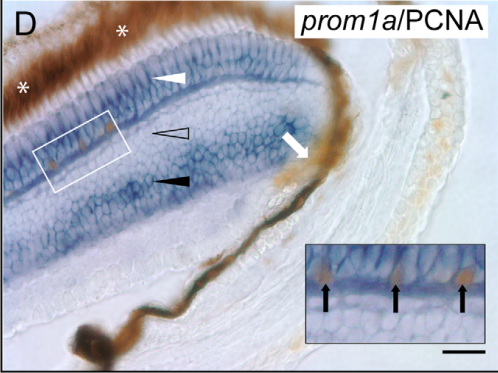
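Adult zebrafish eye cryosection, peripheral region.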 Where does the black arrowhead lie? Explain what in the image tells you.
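Inner nuclear layer. The arrowhead points into the middle, broad layer of rounded cell bodies. This layer lies between the outer, densely packed layer and the innermost part of the retina.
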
